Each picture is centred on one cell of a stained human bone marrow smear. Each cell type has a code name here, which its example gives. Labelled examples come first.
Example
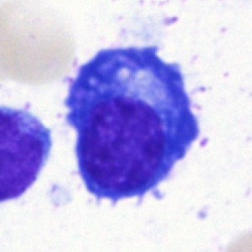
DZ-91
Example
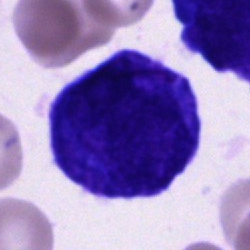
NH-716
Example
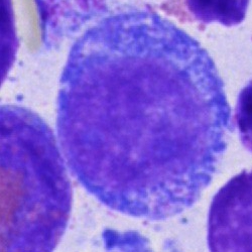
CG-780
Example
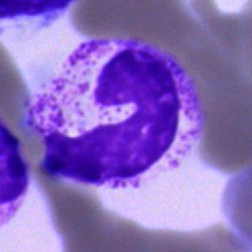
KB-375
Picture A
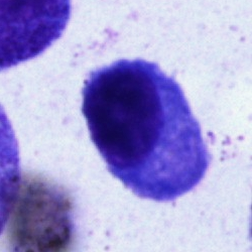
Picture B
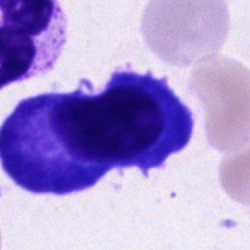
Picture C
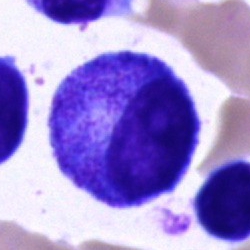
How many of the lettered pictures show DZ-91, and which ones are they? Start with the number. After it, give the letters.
2: A, B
